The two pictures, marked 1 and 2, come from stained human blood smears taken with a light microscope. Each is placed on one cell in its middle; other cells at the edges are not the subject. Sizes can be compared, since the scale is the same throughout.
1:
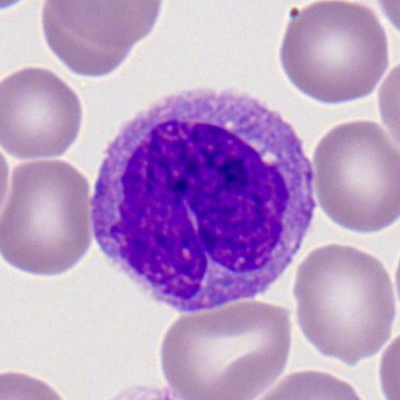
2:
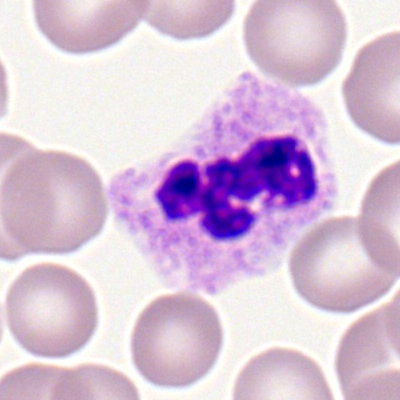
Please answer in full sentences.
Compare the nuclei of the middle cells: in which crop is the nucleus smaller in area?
It is the nucleus in crop 2; the one in crop 1 has about 2.5 times its area.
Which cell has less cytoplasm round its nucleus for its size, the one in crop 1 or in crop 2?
Of the two, the nucleus in crop 1 makes up the greater part of its cell.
